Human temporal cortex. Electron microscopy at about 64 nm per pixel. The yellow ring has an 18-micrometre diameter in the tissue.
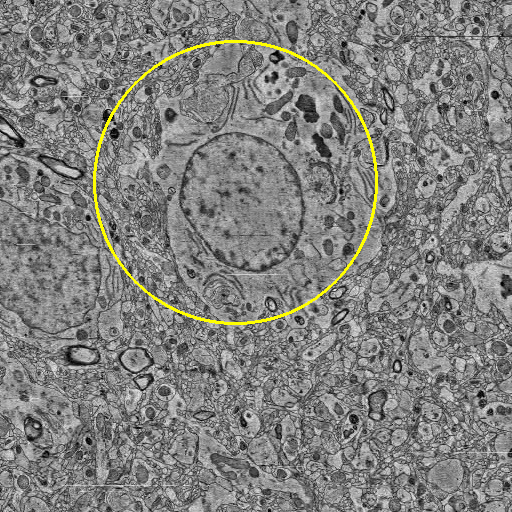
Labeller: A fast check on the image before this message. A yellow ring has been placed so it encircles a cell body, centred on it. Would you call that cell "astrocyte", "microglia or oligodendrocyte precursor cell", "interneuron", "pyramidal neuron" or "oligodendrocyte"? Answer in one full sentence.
In this image, an astrocyte is the cell on which the yellow ring is centred.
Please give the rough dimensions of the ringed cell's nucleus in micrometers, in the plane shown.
The nucleus appears roughly 9 by 8 micrometres in this plane.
